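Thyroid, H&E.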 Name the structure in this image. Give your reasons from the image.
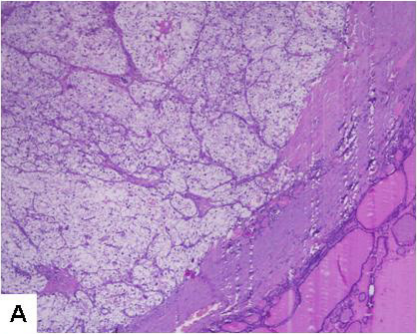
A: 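A pale tumour mass fills the upper left of the field. A band of dense pink fibrous tissue borders the mass. Follicles filled with pink colloid lie beyond the band at lower right. The answer: capsulated intrathyroidal nodule.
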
